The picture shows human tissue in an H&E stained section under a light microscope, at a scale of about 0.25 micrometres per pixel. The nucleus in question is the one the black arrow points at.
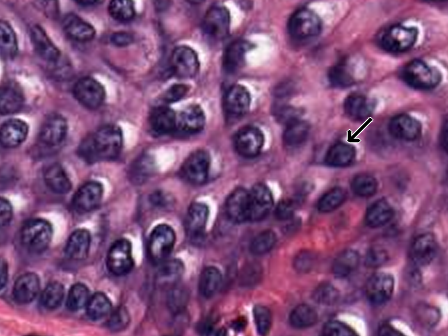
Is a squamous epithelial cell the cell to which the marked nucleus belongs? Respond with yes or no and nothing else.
yes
